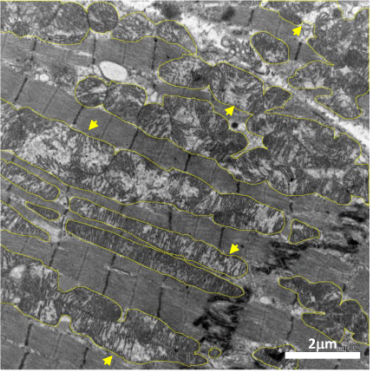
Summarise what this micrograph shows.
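This electron micrograph of heart muscle shows cardiomyocyte cytoplasm with striated myofibrils and mitochondria lying in rows between them. The myofibrils show regular sarcomere banding with dark transverse lines. The mitochondria, outlined in yellow, are often long and enlarged, stretching along the myofibrils. Many have pale, cleared areas in their matrix where the internal folds are sparse or disrupted. A round, pale, homogeneous droplet lies among the mitochondria near the top.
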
